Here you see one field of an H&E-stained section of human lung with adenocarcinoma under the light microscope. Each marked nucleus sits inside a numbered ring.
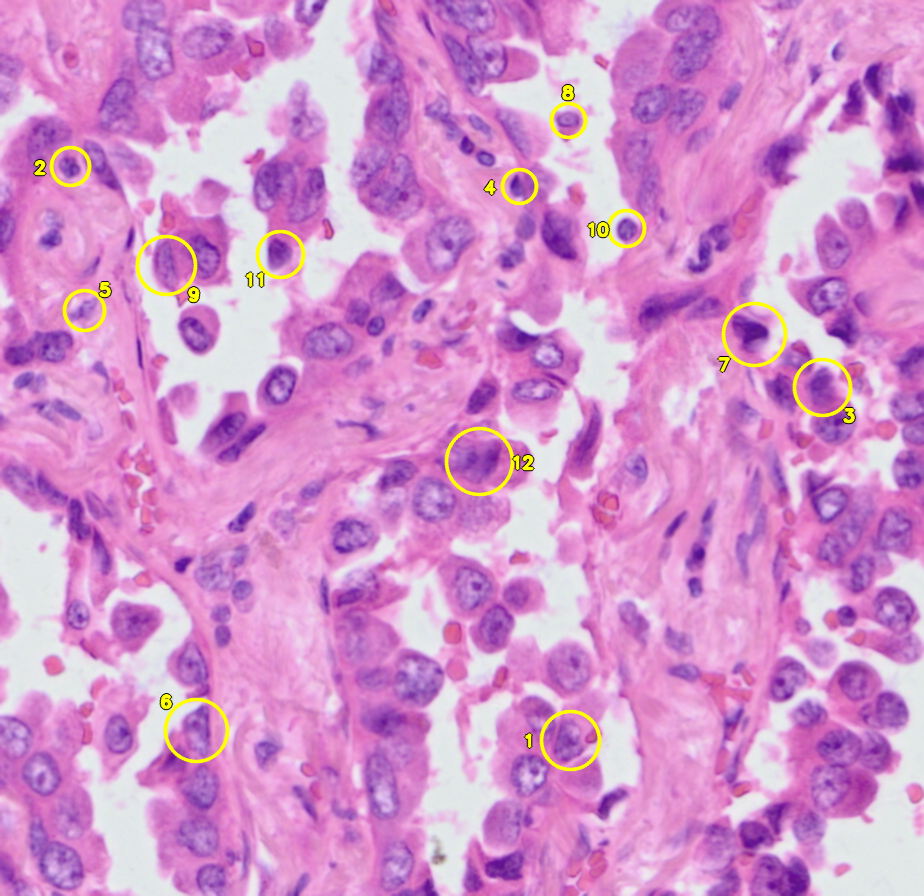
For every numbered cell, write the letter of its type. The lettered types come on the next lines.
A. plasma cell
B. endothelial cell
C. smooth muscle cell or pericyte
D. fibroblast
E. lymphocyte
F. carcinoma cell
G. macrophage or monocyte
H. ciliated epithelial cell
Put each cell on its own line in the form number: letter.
1: F
2: E
3: F
4: E
5: D
6: F
7: F
8: G
9: F
10: E
11: F
12: F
